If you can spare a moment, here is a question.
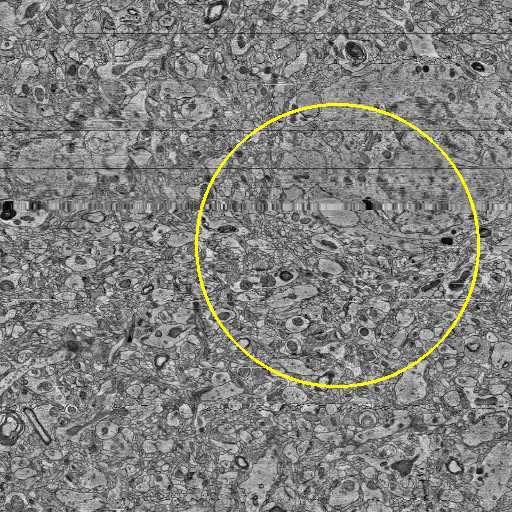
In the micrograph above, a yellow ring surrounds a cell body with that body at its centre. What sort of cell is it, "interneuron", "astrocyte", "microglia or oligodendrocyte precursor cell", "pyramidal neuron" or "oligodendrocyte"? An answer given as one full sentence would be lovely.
Centred inside the yellow ring, the cell body shown belongs to a microglial cell or oligodendrocyte precursor cell in this micrograph.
